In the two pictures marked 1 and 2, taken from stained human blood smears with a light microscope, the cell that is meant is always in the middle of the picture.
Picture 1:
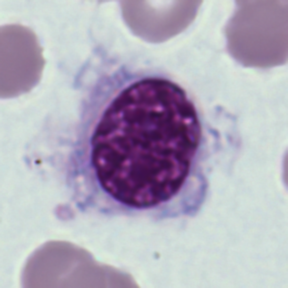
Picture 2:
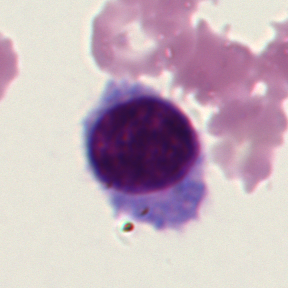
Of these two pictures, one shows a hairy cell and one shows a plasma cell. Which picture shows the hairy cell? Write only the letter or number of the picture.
2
